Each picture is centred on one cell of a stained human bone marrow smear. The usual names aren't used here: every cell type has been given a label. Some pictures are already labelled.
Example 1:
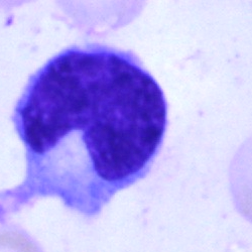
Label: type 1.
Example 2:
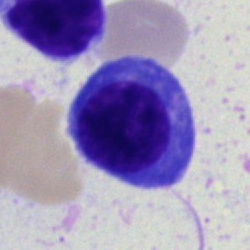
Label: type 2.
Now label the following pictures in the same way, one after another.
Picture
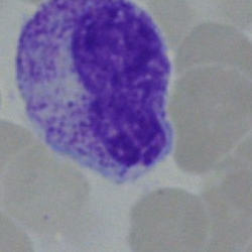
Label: type 1.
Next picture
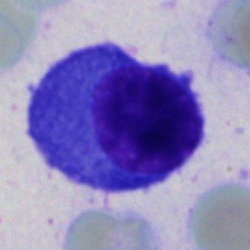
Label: type 2.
